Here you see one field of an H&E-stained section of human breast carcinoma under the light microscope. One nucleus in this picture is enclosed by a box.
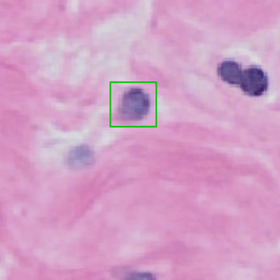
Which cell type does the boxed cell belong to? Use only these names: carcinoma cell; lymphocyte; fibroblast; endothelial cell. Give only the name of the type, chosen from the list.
lymphocyte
